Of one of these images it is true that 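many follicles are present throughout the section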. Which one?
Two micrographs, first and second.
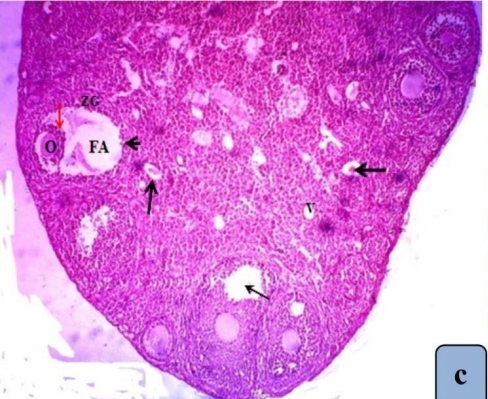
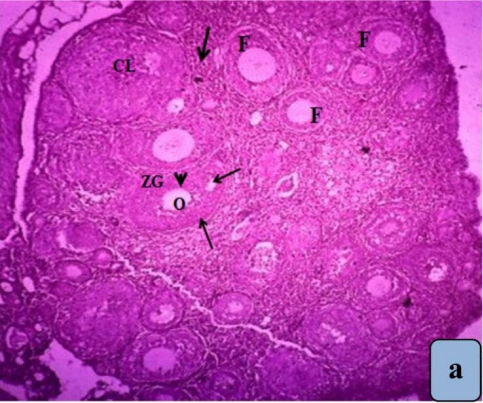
the second image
